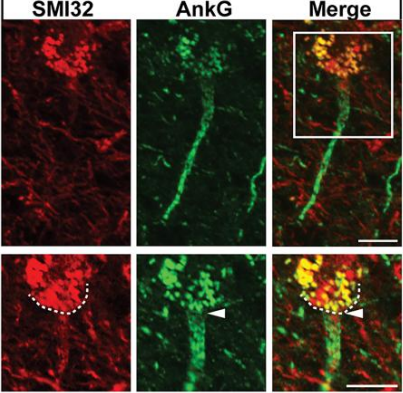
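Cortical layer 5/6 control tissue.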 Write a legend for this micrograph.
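A large neuronal cell body in cortex is labelled in red with granular yellow overlap where both colours coincide, surrounded by many fine red fibres. From the base of the cell body a single thin, straight green process runs downward for a long distance. In the enlarged lower row a dashed line traces the lower contour of the cell body, and an arrowhead marks where the green segment begins, almost directly at the cell body.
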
